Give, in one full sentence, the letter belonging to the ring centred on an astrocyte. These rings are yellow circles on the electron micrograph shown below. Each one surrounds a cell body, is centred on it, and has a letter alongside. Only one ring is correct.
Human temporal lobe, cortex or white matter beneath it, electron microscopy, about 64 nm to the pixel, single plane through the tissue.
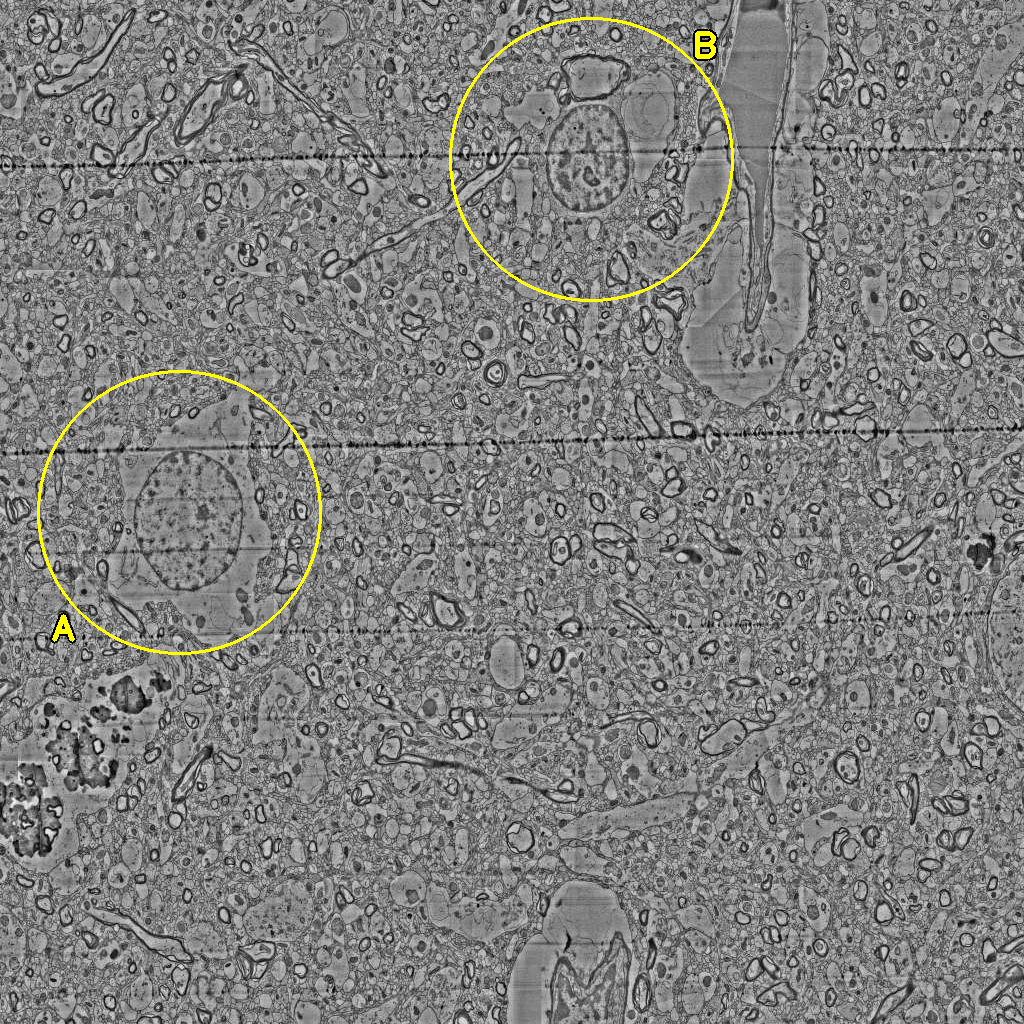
My answer is A, the ring centred on the cell asked for.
